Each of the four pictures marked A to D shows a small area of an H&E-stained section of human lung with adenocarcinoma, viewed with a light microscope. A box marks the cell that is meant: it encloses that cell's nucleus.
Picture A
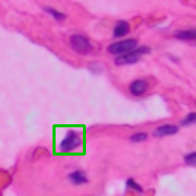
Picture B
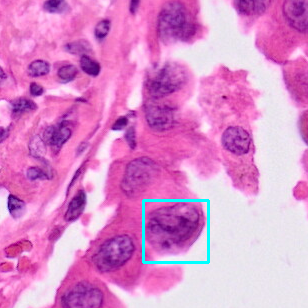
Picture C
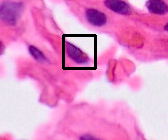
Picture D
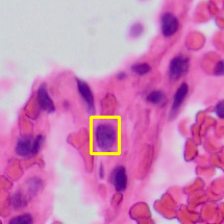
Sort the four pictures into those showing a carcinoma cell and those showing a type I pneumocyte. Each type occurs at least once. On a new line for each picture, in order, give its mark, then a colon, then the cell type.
A: type I pneumocyte
B: carcinoma cell
C: type I pneumocyte
D: type I pneumocyte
